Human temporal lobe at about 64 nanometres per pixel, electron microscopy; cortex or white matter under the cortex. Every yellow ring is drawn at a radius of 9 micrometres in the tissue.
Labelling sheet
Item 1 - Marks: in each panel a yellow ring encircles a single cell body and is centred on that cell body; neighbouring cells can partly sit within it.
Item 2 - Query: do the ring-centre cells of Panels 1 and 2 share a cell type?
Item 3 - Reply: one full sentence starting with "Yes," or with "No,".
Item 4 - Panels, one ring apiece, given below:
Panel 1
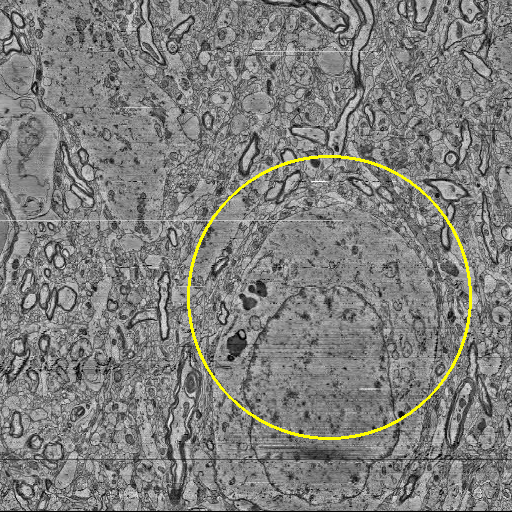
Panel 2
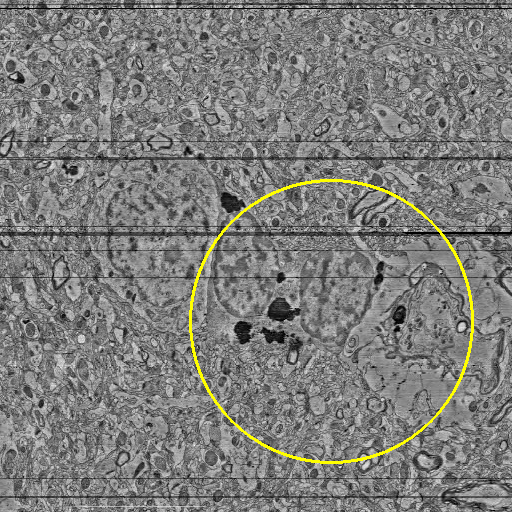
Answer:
No, Panel 1 and Panel 2 show two cell types at the centres of their rings.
